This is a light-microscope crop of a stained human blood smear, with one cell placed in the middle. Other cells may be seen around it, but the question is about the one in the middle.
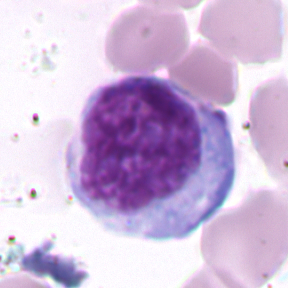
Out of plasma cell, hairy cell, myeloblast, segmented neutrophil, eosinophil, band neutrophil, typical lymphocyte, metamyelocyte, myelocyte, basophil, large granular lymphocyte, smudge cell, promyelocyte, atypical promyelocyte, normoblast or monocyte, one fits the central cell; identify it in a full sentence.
In the crop, the cell of interest at the centre is a plasma cell.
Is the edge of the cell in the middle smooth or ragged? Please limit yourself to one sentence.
There are no projections here; the outline is simply smooth.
